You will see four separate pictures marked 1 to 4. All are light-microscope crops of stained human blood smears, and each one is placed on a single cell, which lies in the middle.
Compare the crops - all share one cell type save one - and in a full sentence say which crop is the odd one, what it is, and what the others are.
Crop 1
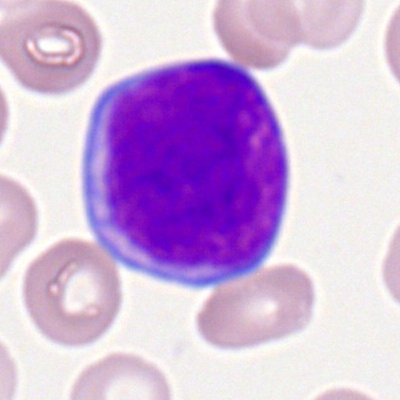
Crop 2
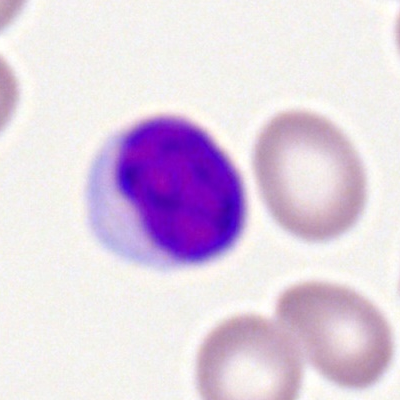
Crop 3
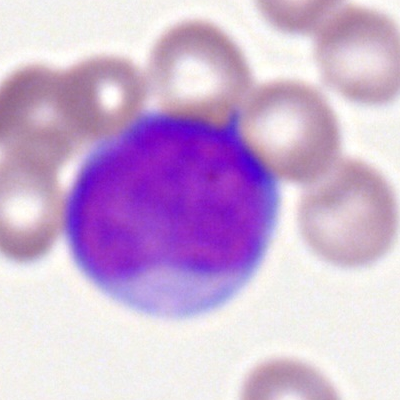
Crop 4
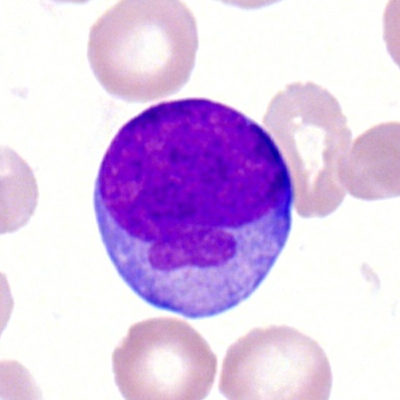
The set is made up of myeloblasts, with the single exception of crop 2, which is a lymphocyte.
